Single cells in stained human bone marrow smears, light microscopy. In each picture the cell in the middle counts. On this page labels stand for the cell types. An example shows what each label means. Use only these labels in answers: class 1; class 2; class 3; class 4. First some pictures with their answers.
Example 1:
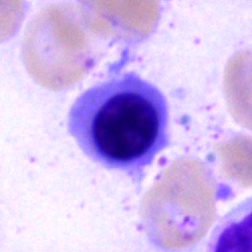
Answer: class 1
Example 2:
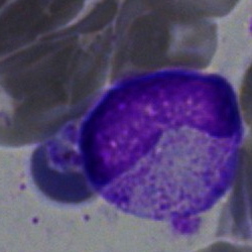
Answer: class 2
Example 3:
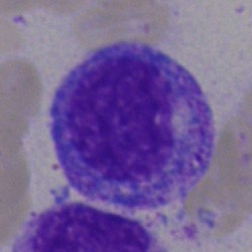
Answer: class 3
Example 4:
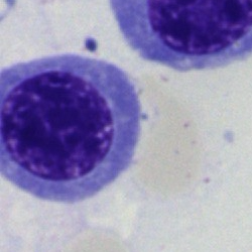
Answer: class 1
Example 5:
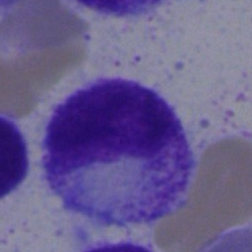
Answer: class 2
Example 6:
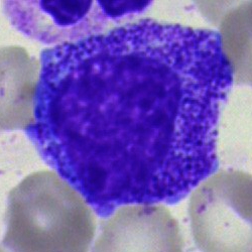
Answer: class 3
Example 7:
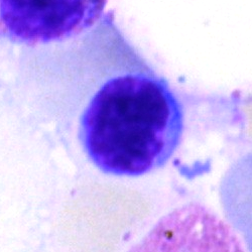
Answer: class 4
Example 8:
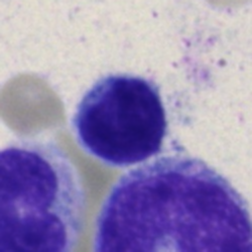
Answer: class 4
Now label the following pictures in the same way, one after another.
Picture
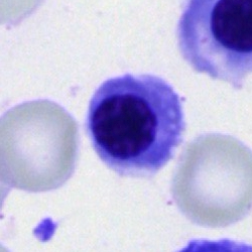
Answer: class 1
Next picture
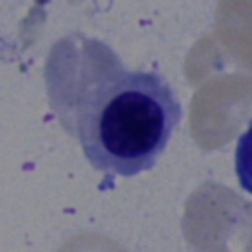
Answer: class 1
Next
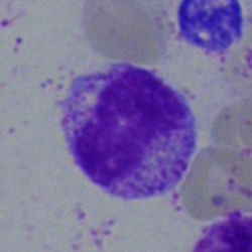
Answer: class 2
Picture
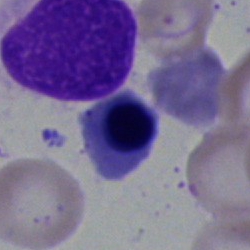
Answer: class 1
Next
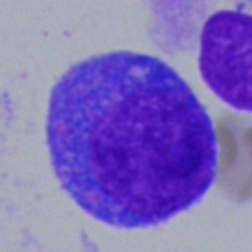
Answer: class 3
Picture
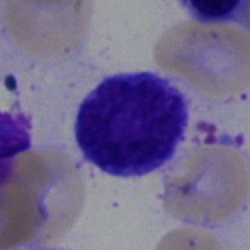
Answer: class 4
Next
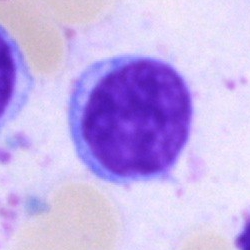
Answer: class 4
